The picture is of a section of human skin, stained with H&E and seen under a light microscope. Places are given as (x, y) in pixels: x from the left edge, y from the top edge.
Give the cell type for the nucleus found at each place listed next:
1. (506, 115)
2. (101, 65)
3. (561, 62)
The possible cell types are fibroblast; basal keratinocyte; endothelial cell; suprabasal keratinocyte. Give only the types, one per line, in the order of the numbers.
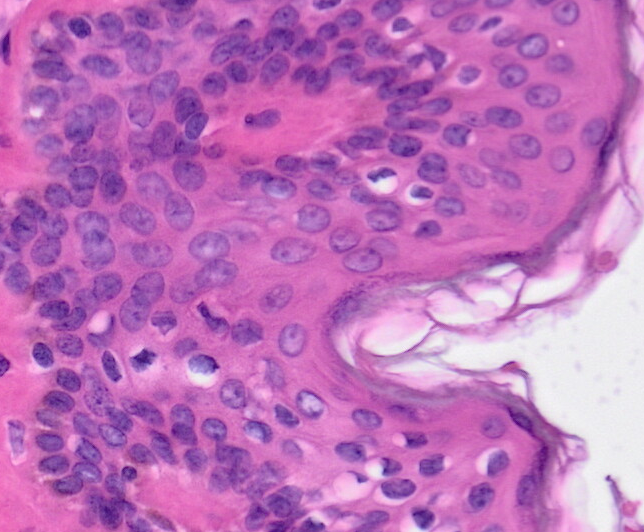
suprabasal keratinocyte
basal keratinocyte
suprabasal keratinocyte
